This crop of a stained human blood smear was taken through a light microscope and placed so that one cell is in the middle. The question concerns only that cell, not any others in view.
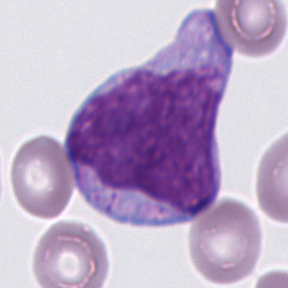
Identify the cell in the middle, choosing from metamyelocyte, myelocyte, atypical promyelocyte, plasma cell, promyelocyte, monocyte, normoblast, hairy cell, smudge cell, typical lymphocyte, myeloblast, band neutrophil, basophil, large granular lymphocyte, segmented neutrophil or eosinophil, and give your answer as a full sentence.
The cell under consideration, at the middle of the crop, is an atypical promyelocyte.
